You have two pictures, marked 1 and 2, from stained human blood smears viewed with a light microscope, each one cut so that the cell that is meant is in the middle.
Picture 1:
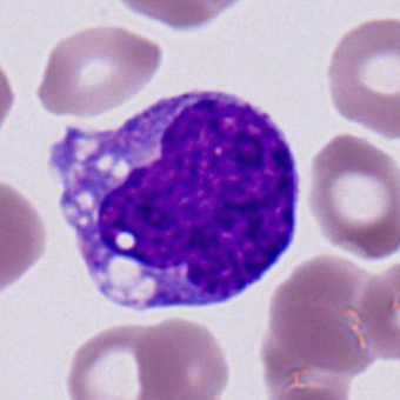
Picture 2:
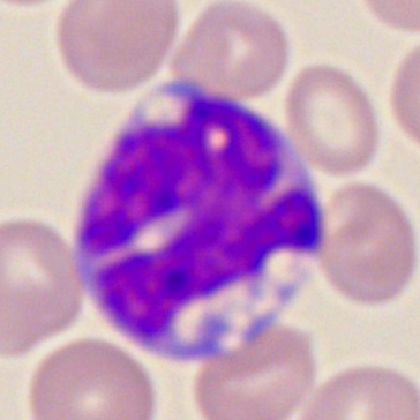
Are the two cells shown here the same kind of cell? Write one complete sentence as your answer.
Yes, both are monocytes.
